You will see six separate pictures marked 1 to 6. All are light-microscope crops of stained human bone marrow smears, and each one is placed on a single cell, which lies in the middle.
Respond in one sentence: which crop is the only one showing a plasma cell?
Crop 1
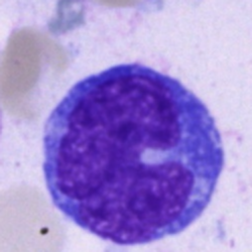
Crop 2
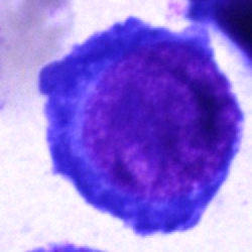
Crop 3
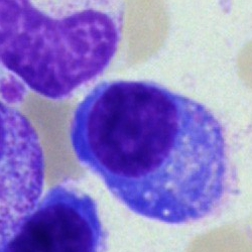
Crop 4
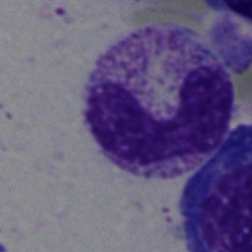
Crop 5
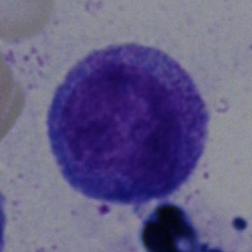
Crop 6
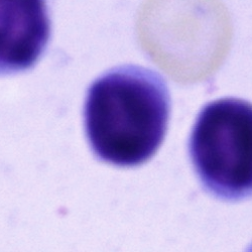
When the crops are compared, crop 3 is the one showing a plasma cell.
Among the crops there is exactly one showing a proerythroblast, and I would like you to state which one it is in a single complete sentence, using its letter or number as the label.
Of the crops given, a proerythroblast is found in crop 2.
